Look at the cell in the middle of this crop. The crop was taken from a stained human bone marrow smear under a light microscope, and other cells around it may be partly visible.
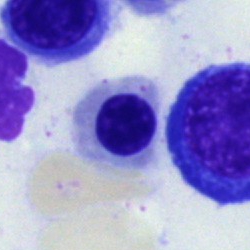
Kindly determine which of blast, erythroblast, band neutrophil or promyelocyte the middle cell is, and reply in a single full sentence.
The cell that lies at the centre of the crop is an erythroblast.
